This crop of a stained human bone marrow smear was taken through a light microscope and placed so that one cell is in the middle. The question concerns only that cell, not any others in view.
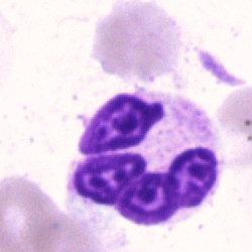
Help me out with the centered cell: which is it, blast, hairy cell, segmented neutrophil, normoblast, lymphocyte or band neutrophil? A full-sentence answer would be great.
The central cell shown in this smear crop is a segmented neutrophil.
